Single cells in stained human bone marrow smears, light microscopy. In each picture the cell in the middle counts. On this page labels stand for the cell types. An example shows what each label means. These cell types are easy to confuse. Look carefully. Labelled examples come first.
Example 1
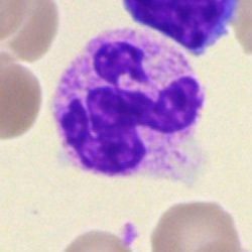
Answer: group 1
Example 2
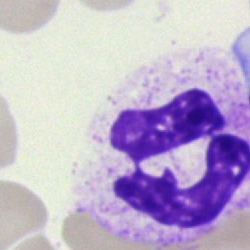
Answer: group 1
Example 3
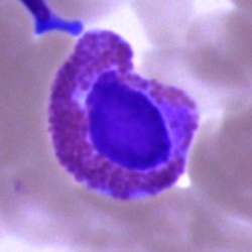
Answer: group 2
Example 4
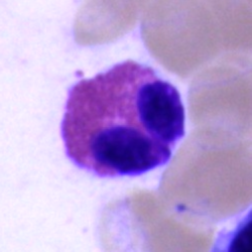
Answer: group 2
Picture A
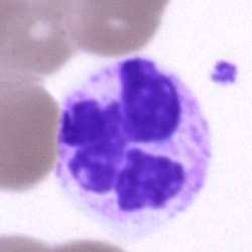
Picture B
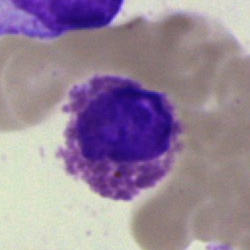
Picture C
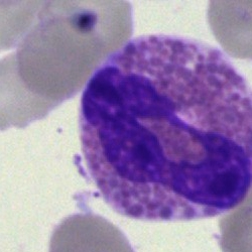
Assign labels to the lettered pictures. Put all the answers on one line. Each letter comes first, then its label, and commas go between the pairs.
A group 1, B group 2, C group 2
